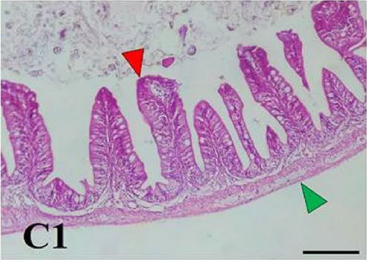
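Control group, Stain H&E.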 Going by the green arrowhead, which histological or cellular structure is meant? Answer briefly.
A: Wall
